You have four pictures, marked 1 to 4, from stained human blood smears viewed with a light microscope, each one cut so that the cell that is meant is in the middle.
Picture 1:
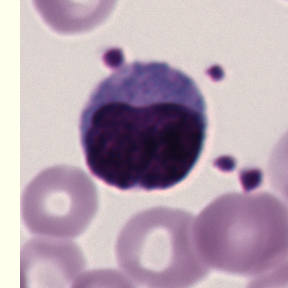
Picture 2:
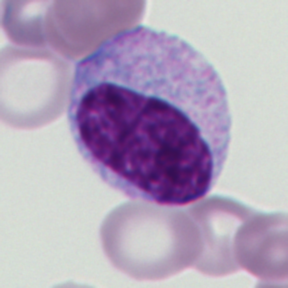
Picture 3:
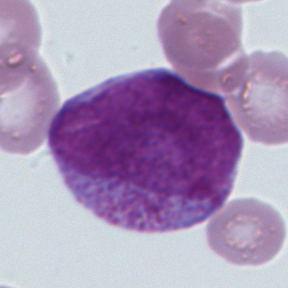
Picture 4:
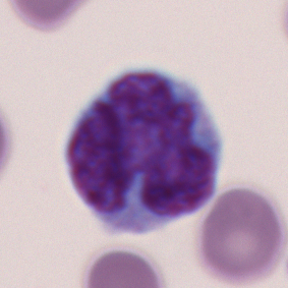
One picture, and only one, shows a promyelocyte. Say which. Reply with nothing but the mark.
3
